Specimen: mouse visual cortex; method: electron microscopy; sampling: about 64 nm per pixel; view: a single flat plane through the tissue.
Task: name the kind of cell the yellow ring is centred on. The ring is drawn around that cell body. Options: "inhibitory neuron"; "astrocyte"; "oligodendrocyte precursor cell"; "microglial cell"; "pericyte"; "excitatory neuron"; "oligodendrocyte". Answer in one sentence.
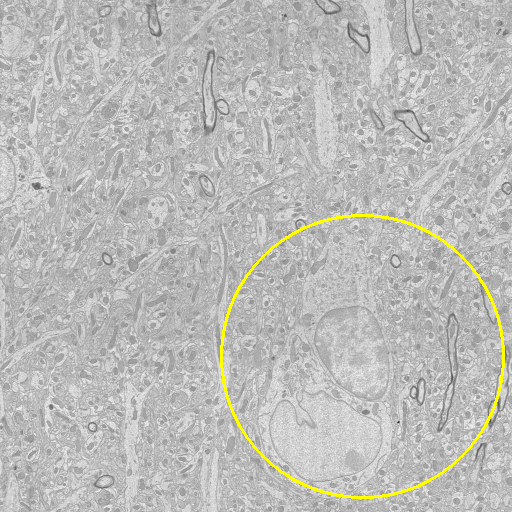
This cell body belongs to an oligodendrocyte.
